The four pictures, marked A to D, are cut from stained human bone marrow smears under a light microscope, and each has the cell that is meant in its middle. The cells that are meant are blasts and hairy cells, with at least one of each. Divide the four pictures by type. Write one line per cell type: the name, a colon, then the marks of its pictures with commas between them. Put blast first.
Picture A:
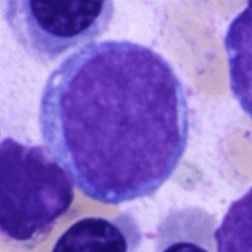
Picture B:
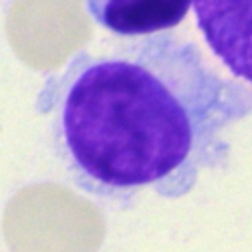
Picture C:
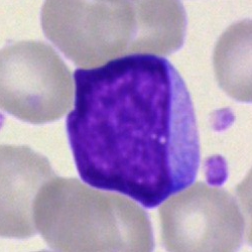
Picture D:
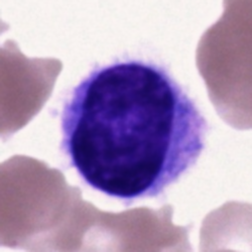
blast: A, C
hairy cell: B, D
